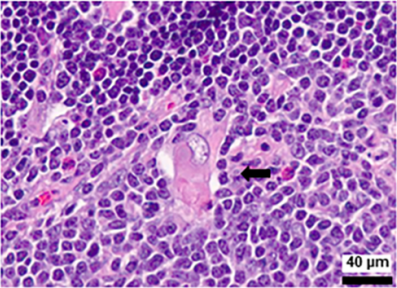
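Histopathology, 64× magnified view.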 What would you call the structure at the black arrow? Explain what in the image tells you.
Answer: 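Hassall's Corpuscles. It is surrounded by small round dark-nucleated cells.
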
